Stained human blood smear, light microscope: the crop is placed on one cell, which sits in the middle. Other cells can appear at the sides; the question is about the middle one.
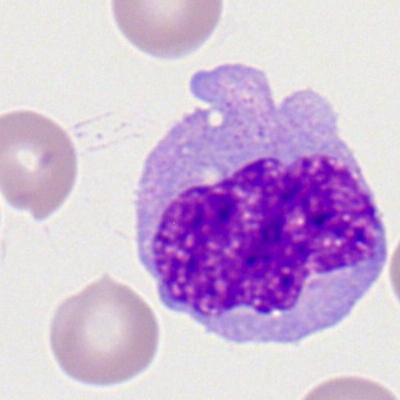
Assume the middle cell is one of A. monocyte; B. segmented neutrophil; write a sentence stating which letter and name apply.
Option A is correct in that the central cell is a monocyte.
